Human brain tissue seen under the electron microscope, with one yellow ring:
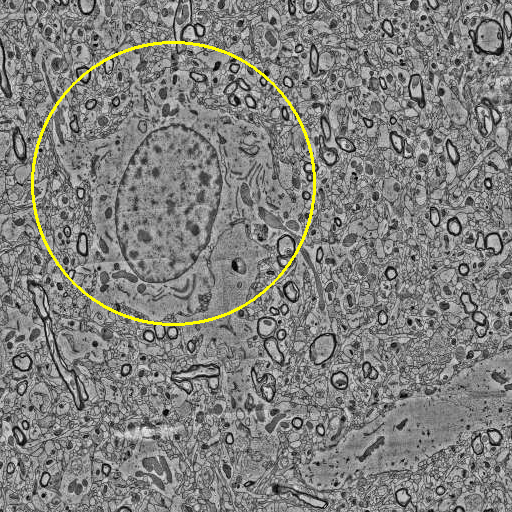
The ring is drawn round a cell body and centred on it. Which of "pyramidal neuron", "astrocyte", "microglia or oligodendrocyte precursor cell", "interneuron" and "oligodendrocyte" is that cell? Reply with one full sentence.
The picture shows an astrocyte at the very centre of the yellow ring.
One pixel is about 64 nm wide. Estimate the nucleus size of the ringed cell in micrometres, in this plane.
In this plane the nucleus spans approximately 10 by 7 micrometers.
